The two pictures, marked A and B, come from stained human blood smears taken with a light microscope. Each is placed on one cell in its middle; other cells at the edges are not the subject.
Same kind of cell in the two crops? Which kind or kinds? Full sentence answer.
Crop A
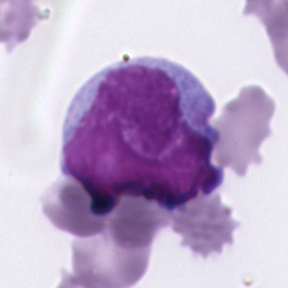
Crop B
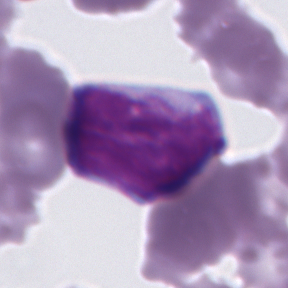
Yes, myeloblasts are what the two crops show.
